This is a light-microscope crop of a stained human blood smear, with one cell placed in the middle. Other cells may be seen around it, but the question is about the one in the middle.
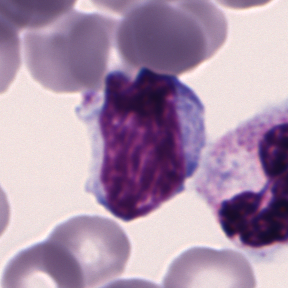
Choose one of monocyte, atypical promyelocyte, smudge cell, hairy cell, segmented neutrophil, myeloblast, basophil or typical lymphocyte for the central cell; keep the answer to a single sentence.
The cell under consideration, at the middle of the crop, is a typical lymphocyte.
